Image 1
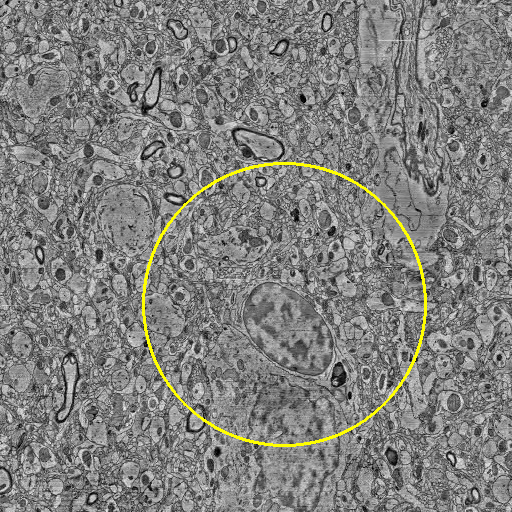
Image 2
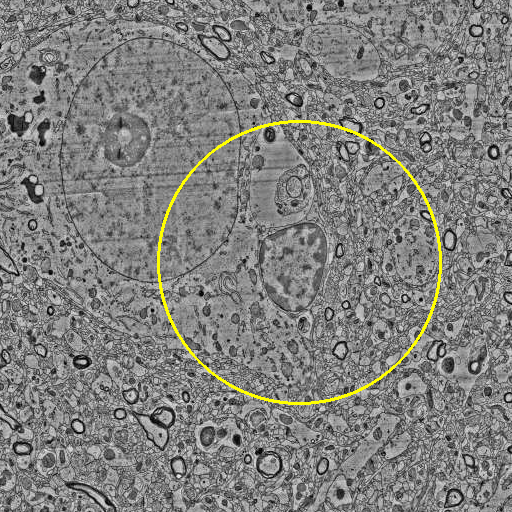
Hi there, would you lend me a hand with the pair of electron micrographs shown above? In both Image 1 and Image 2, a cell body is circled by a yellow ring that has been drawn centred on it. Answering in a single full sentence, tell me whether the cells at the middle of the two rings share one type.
Yes, the ringed cells in Image 1 and Image 2 share one type.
